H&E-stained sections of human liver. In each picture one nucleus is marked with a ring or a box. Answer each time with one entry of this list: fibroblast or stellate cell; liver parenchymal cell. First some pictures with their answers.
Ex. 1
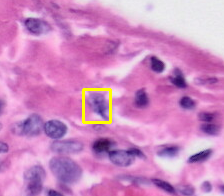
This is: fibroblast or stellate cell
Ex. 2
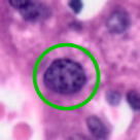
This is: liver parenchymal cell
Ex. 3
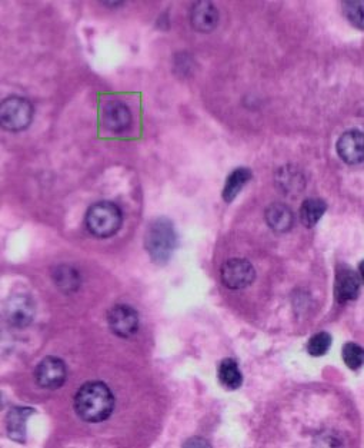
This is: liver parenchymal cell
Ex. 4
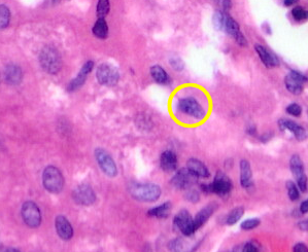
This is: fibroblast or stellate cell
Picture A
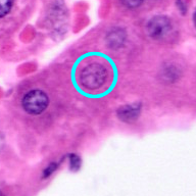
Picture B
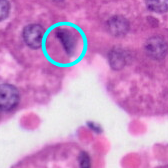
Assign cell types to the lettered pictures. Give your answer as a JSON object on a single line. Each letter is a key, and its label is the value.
{"A": "liver parenchymal cell", "B": "fibroblast or stellate cell"}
